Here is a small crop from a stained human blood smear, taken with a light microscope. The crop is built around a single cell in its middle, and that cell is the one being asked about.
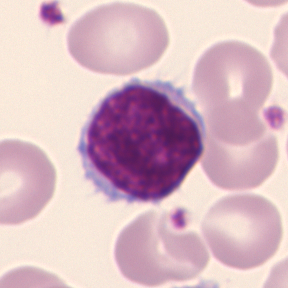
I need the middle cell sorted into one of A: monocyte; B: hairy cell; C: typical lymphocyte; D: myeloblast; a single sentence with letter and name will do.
The cell in the centre of the crop is a typical lymphocyte, so option C is the correct one.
